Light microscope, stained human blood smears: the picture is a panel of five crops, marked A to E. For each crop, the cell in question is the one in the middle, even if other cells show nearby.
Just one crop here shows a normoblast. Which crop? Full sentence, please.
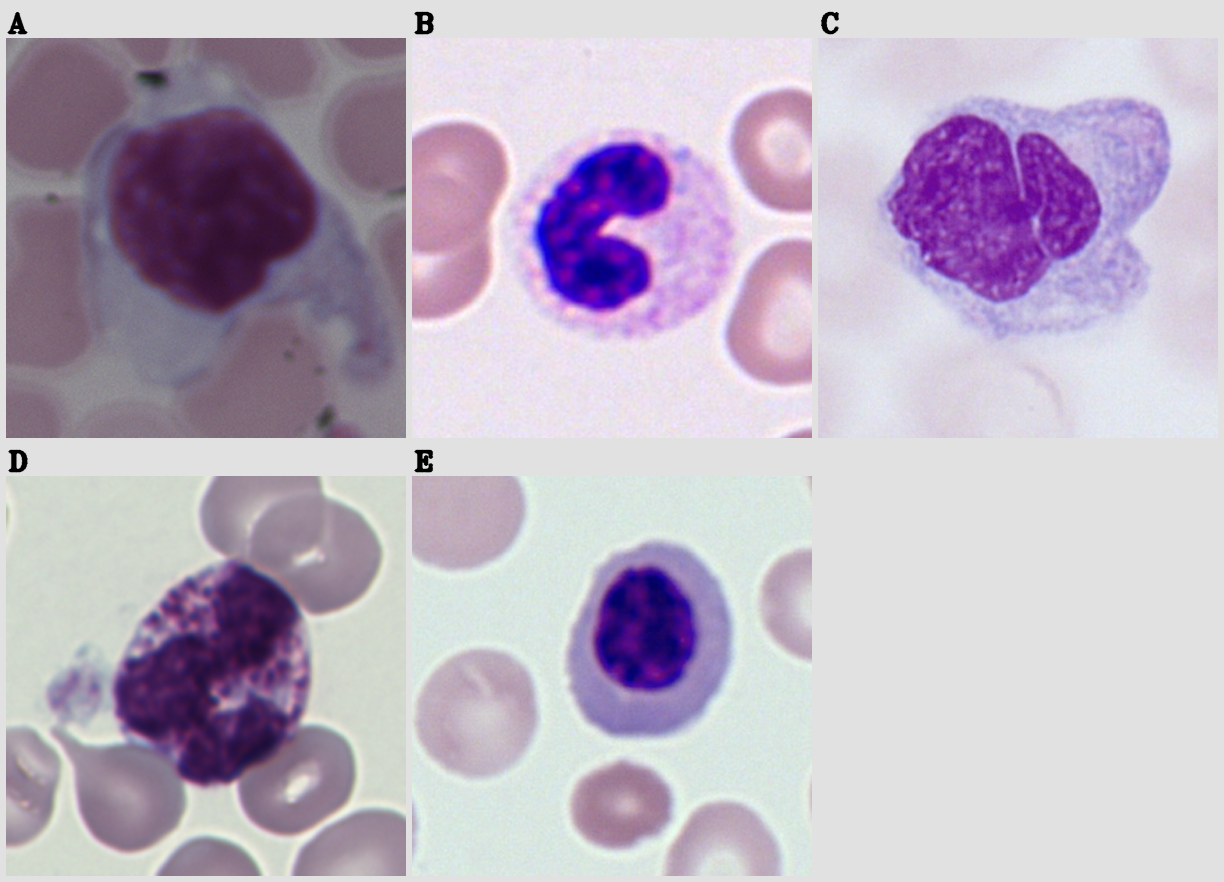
As for which crop shows a normoblast, it is crop E.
